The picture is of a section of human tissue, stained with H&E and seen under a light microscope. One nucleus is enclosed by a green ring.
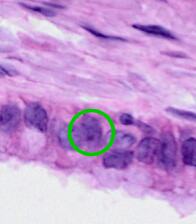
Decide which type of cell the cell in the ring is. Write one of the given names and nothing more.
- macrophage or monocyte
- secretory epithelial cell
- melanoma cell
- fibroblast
secretory epithelial cell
